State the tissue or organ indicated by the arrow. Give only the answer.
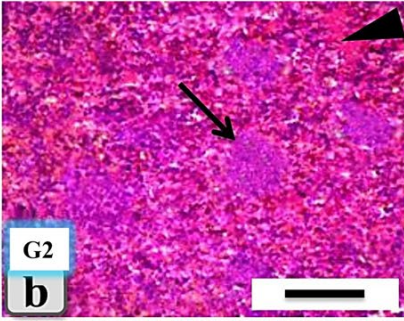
white pulp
